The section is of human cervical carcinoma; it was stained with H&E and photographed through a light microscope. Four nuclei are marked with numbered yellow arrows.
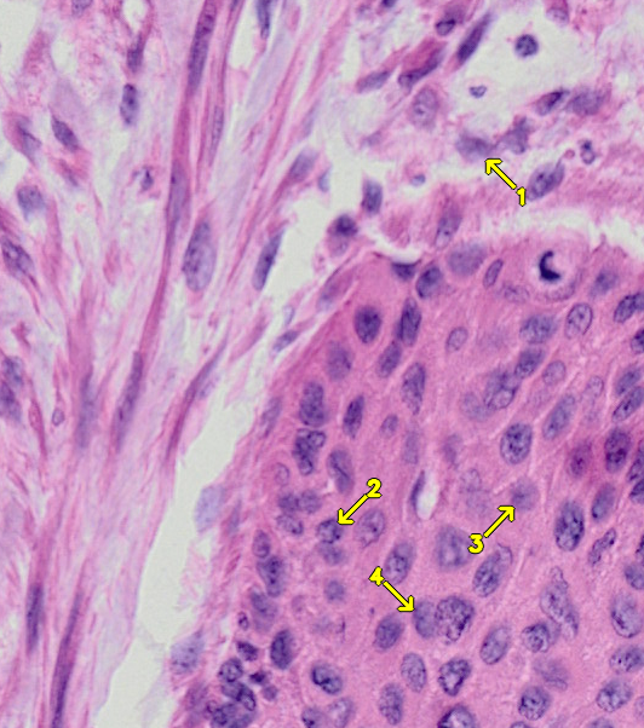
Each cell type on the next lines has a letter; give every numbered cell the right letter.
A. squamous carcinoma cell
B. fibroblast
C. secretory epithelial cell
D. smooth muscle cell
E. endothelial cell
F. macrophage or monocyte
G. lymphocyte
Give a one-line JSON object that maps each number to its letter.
{"1": "B", "2": "A", "3": "A", "4": "A"}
